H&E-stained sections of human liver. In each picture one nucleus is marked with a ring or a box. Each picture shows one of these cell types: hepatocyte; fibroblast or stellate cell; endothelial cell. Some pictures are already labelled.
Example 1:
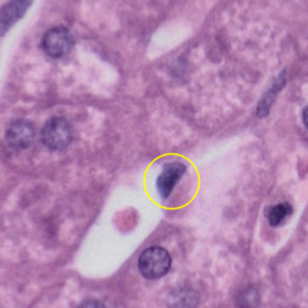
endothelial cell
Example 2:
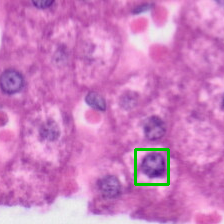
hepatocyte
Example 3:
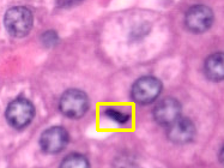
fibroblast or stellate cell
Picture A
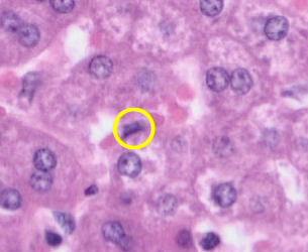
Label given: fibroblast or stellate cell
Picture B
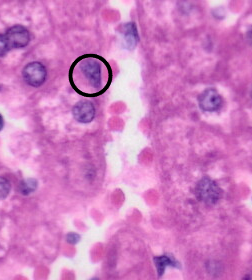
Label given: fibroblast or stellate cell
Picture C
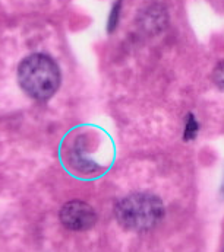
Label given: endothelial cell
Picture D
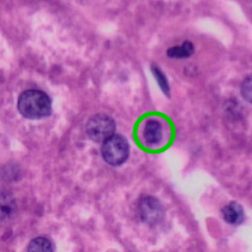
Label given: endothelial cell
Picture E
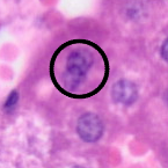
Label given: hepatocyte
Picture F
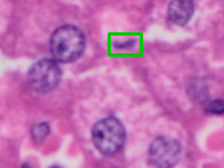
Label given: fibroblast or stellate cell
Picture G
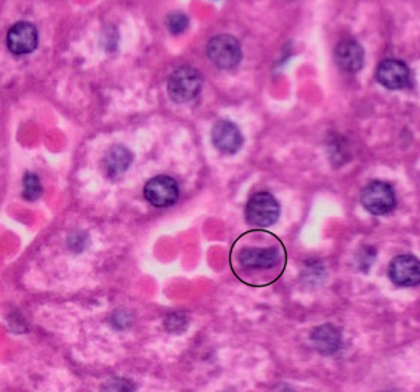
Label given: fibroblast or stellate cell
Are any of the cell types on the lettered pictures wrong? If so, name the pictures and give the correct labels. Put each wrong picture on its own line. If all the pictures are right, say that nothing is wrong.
D: not endothelial cell but fibroblast or stellate cell
F: not fibroblast or stellate cell but endothelial cell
